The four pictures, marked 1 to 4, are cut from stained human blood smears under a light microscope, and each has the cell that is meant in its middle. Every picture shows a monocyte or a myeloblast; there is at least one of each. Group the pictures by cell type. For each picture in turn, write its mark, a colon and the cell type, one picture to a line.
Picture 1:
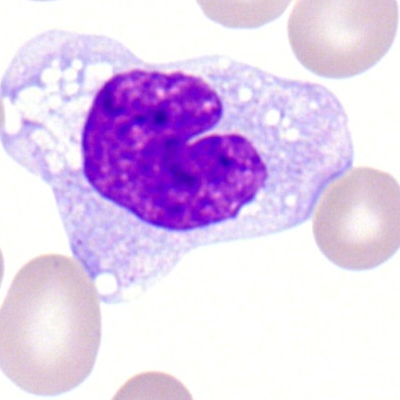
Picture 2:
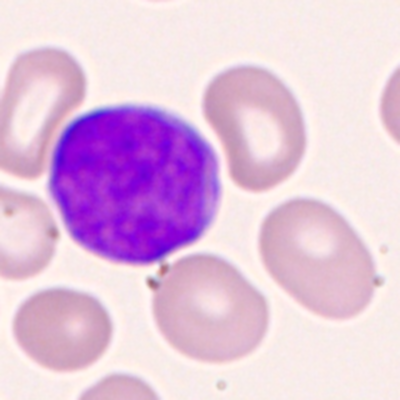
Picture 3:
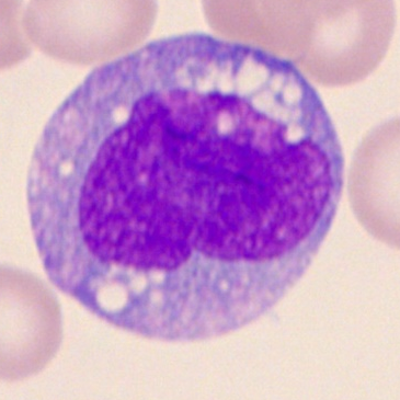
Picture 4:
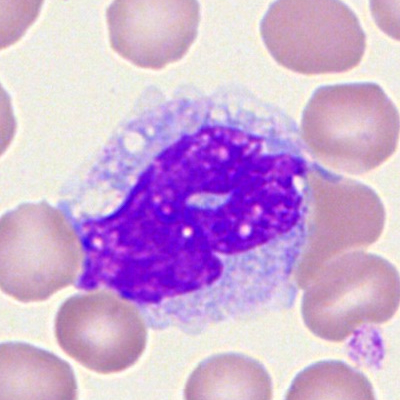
1: monocyte
2: myeloblast
3: monocyte
4: monocyte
